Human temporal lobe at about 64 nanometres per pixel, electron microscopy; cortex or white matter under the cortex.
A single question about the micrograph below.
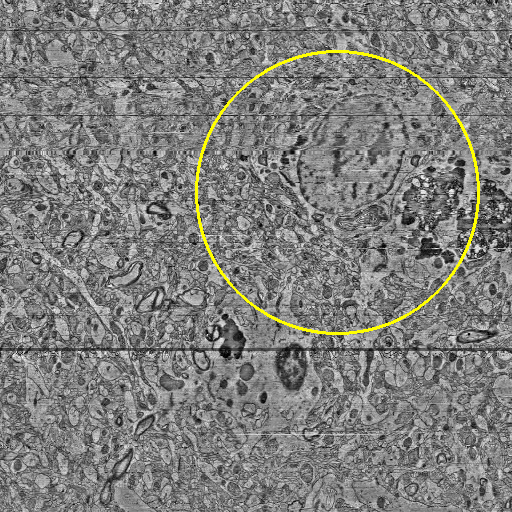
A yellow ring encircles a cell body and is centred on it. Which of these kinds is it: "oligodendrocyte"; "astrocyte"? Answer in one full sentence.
The cell body at the centre of the yellow ring belongs to an astrocyte.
